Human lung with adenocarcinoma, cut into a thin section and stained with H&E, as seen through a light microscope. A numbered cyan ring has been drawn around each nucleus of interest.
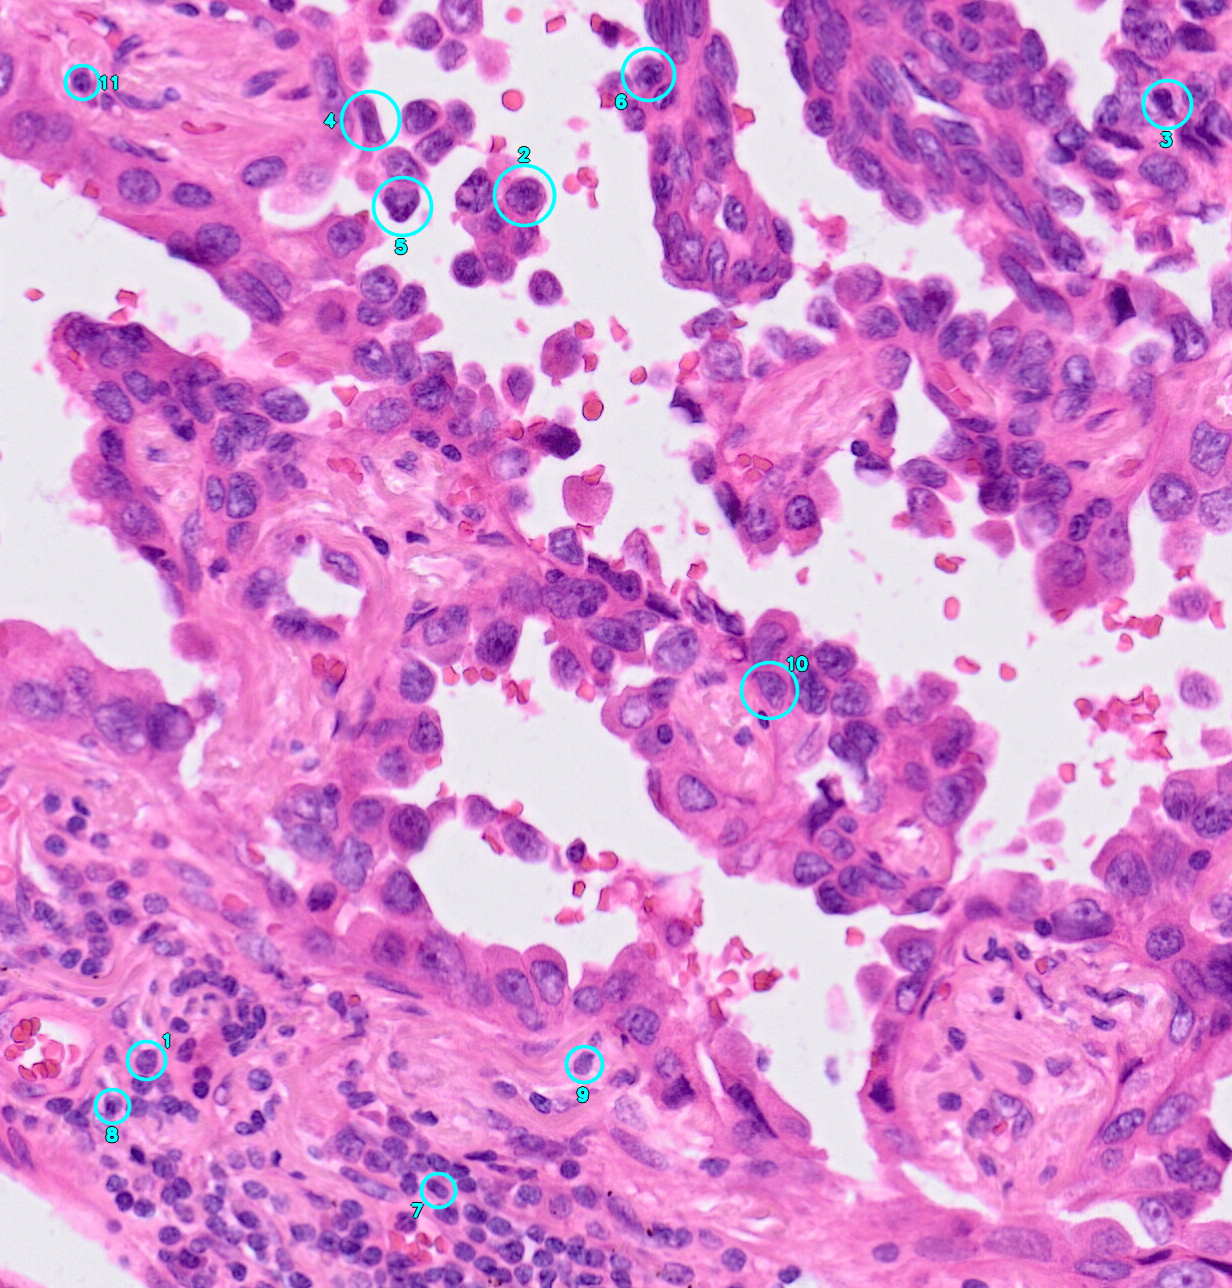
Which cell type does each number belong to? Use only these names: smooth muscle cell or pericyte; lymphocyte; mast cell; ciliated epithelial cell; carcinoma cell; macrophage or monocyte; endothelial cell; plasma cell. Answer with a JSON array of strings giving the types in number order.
["lymphocyte", "carcinoma cell", "carcinoma cell", "carcinoma cell", "carcinoma cell", "carcinoma cell", "lymphocyte", "lymphocyte", "lymphocyte", "carcinoma cell", "plasma cell"]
